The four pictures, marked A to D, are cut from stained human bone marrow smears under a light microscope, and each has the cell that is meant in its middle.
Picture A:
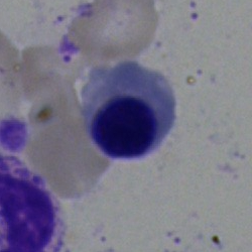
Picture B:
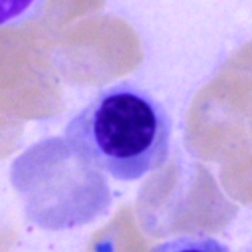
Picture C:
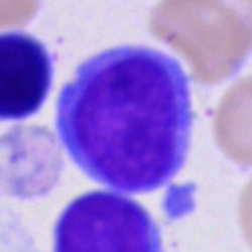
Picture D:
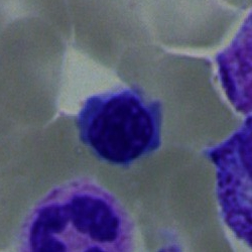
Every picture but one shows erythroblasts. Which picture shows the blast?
C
